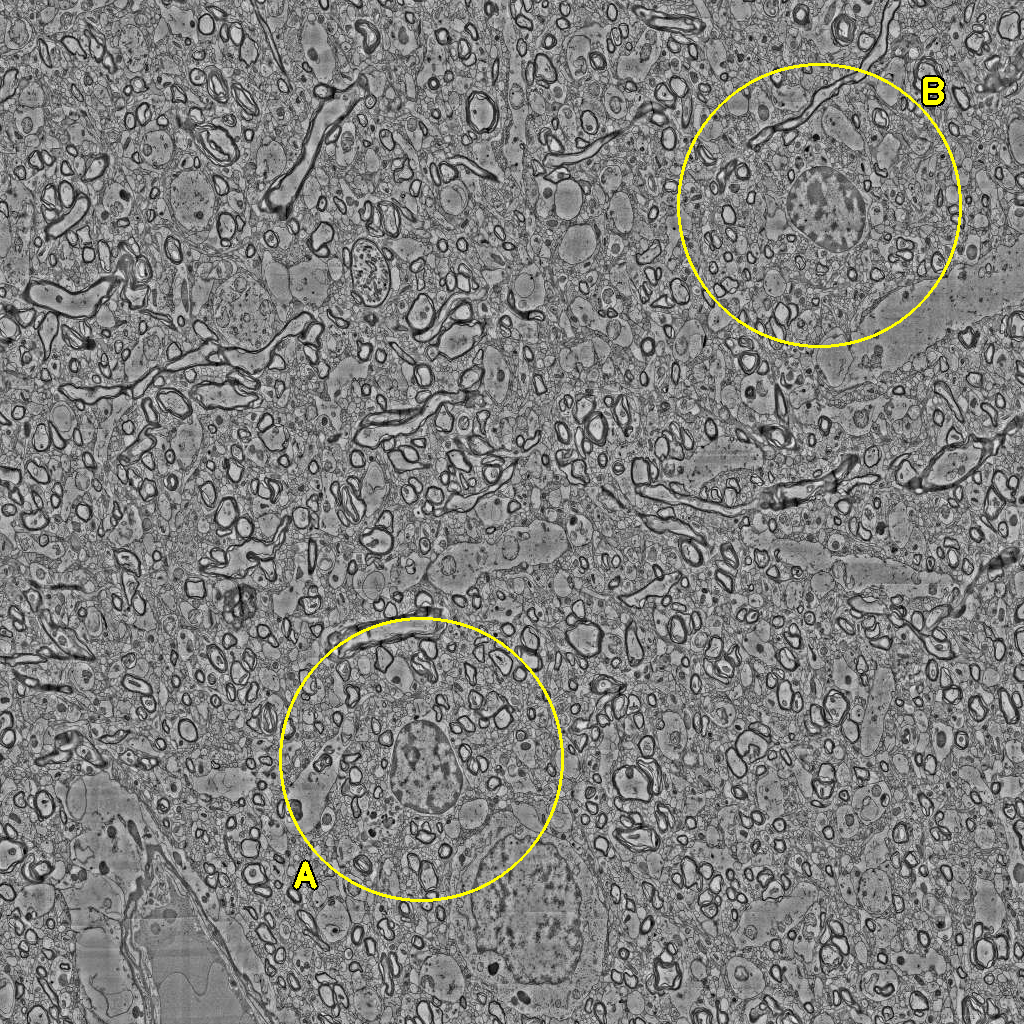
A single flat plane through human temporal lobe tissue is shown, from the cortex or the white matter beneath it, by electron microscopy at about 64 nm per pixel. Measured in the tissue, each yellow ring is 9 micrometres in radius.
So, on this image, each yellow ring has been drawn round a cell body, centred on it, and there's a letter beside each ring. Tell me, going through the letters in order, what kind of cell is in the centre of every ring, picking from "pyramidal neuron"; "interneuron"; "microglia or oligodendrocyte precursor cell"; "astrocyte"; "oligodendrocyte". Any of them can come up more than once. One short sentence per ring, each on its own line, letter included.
Ring A has been drawn round a microglial cell or oligodendrocyte precursor cell.
Ring B has been drawn round a microglial cell or oligodendrocyte precursor cell.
